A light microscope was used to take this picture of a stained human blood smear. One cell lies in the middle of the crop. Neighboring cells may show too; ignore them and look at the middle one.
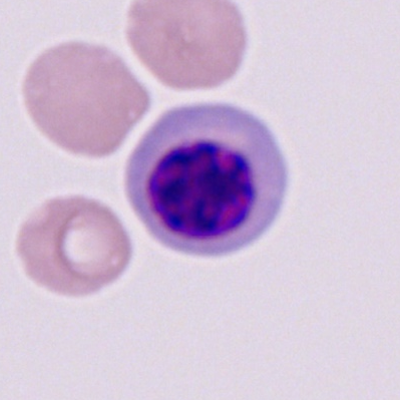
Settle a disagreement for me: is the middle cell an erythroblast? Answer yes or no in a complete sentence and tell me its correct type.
Yes, the middle cell in this crop is an erythroblast.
